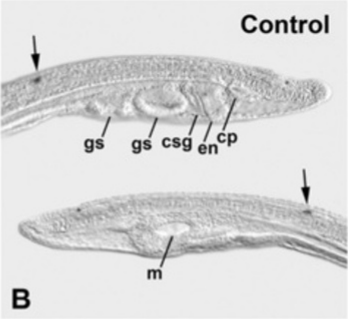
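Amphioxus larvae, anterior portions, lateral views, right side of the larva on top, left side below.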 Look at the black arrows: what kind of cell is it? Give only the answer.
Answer: first photoreceptor and associated pigment cell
